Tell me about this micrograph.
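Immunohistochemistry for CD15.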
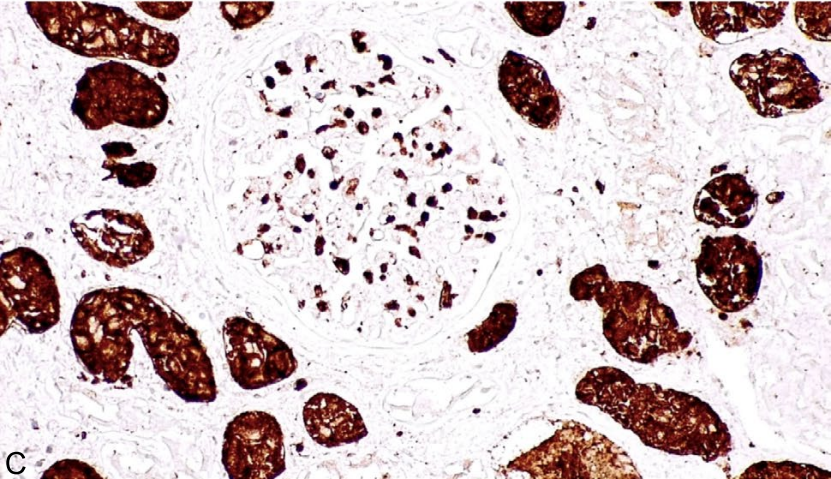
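A glomerulus surrounded by tubules is seen, with brown-stained granulocytes within the glomerular capillary network and strong brown staining of the tubular epithelial cells. The glomerulus is a round tuft of capillary loops enclosed by a thin capsule in the centre. Within the tuft, scattered small cells are stained brown, lying individually in the capillary loops. The surrounding round and elongated tubular profiles are packed with dark brown epithelium. The interstitium between the tubules is pale and unstained.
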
